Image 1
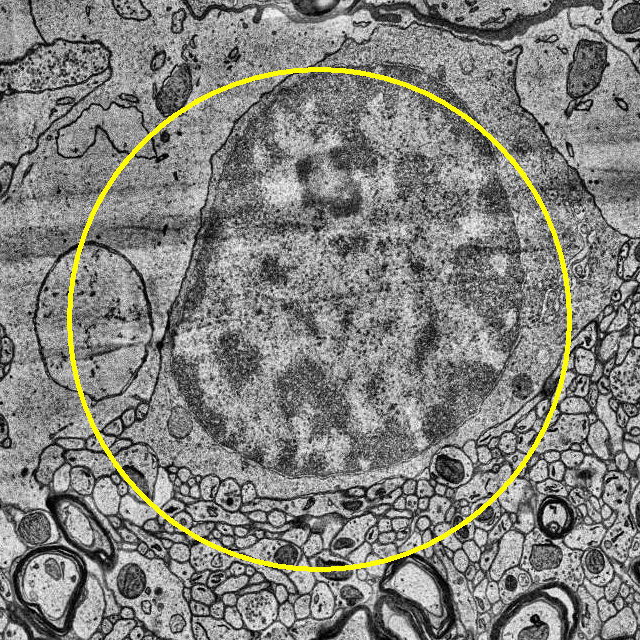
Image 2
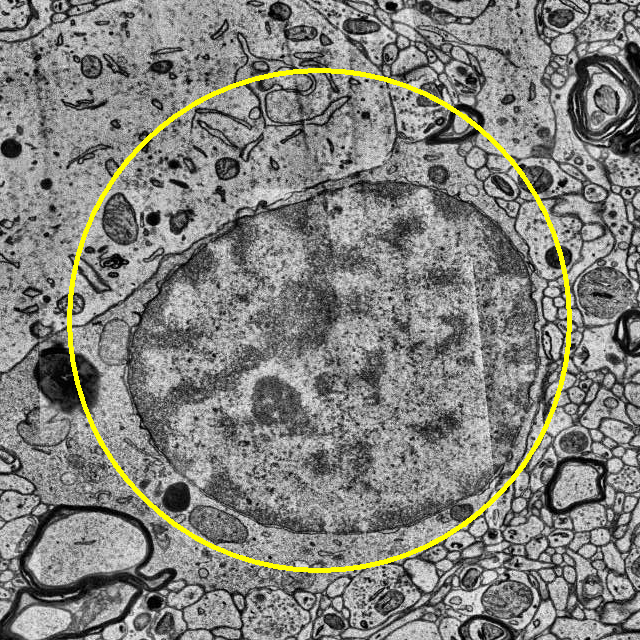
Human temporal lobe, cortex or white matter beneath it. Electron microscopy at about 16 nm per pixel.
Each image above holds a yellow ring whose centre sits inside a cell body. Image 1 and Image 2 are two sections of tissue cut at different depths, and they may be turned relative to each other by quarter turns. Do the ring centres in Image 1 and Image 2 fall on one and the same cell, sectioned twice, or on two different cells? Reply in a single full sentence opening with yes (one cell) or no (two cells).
No, the two marked cells are different cells.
